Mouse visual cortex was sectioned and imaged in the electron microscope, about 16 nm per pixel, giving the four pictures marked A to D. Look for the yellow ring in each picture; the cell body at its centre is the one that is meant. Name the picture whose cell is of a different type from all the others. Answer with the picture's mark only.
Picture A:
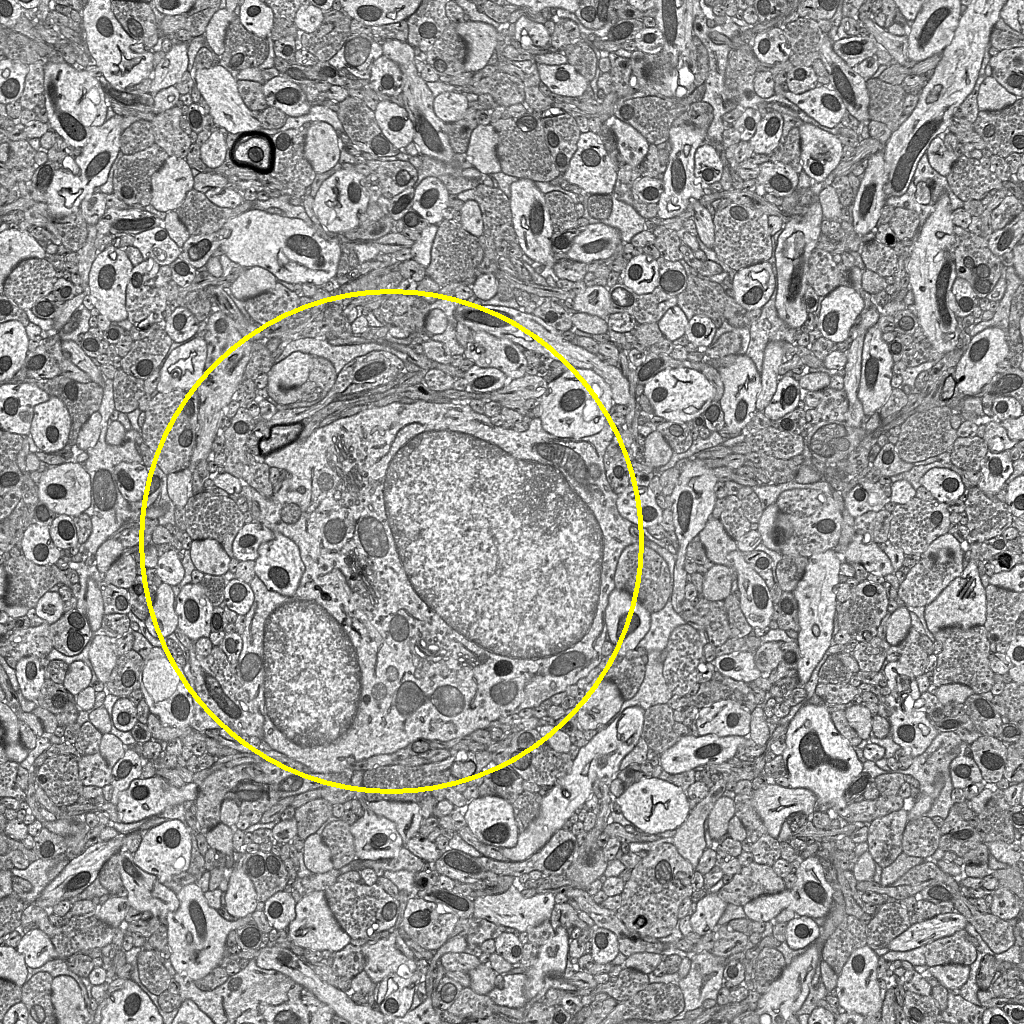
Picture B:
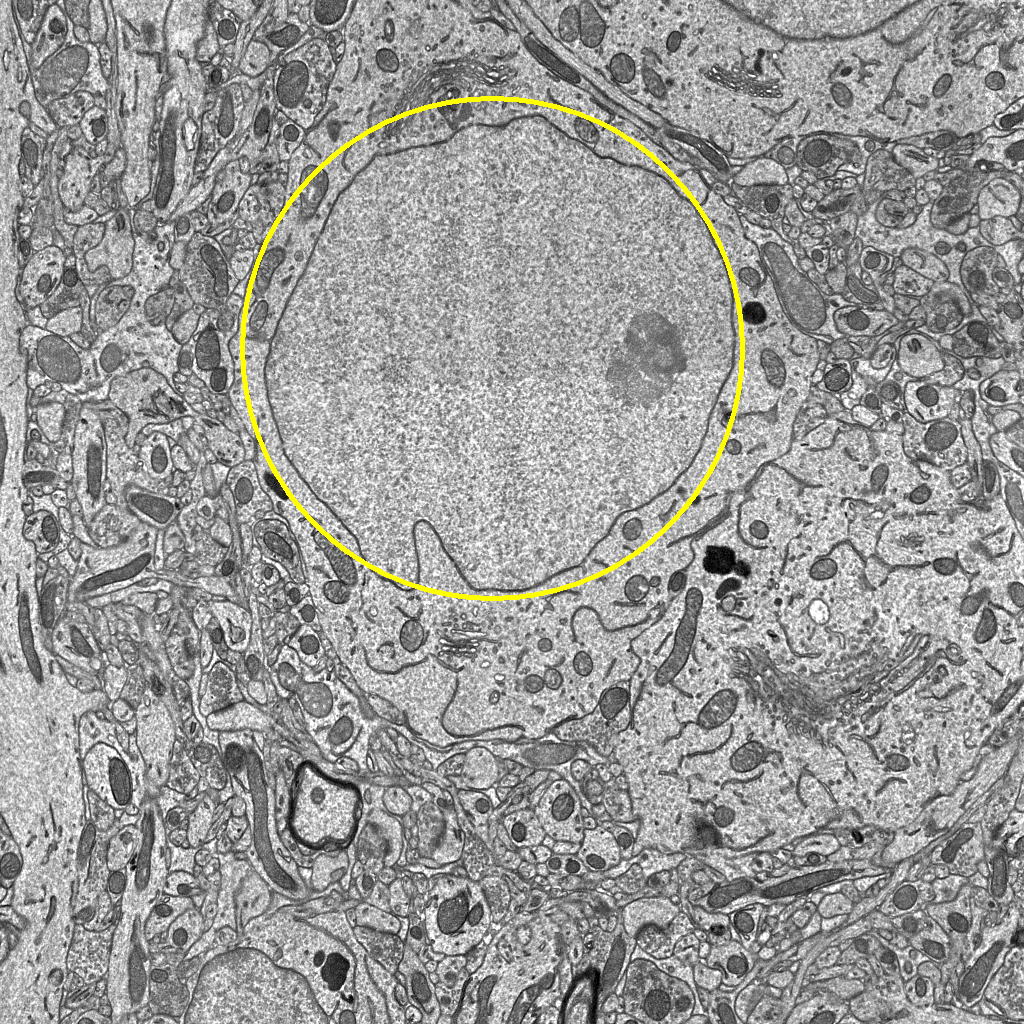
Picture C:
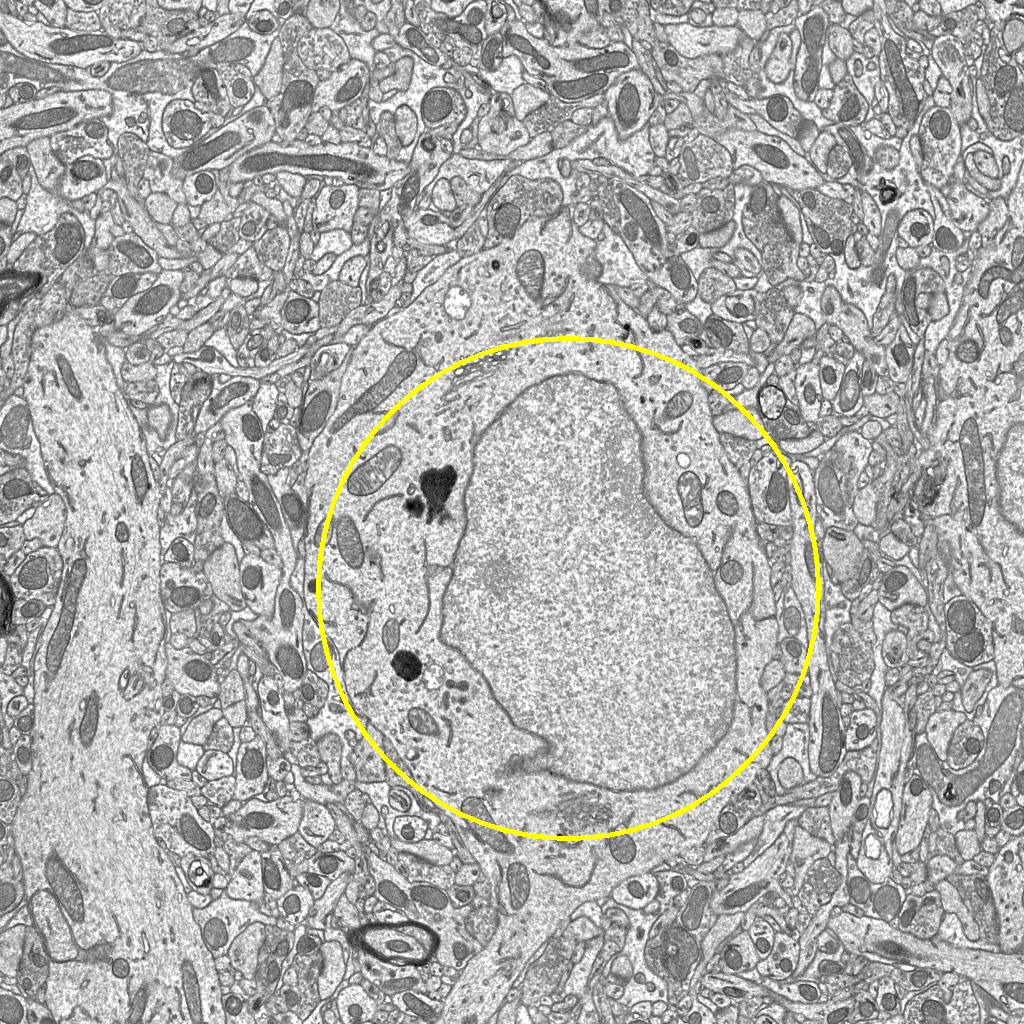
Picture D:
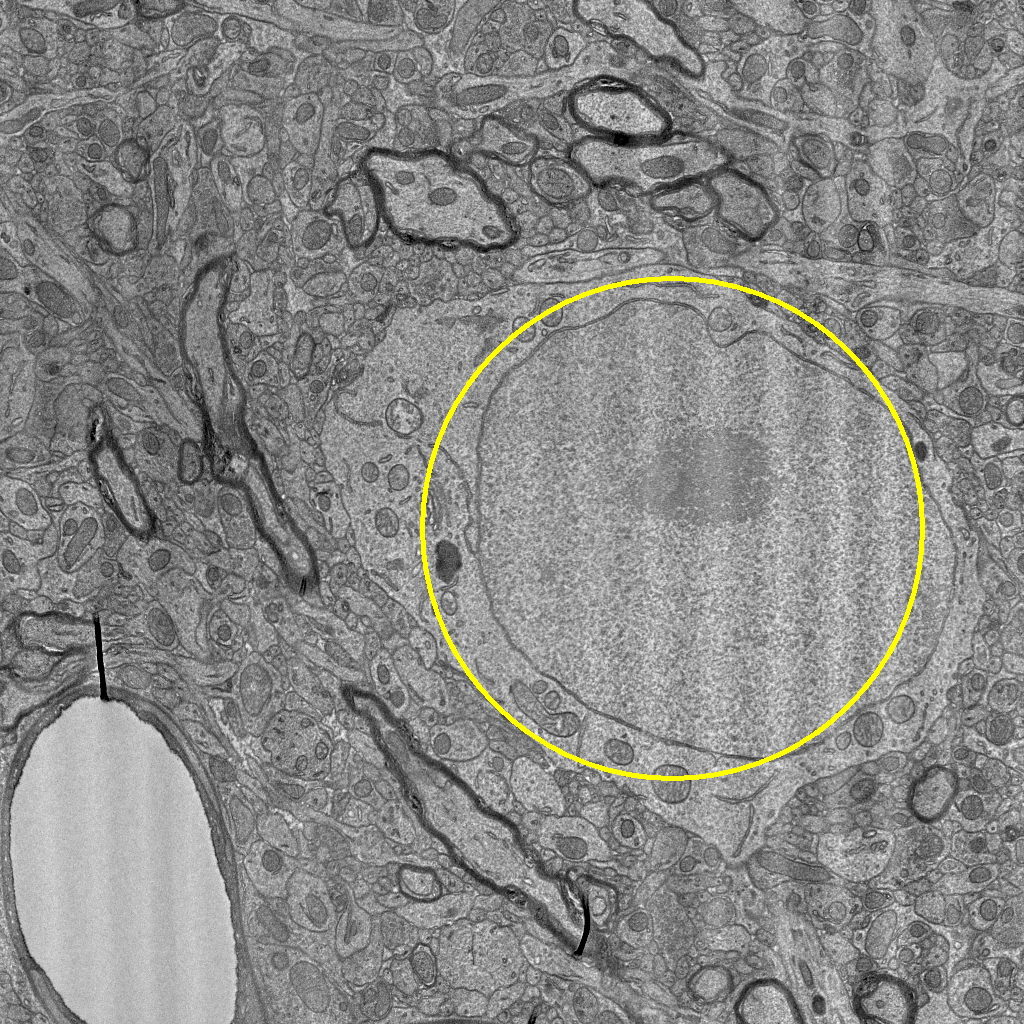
A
